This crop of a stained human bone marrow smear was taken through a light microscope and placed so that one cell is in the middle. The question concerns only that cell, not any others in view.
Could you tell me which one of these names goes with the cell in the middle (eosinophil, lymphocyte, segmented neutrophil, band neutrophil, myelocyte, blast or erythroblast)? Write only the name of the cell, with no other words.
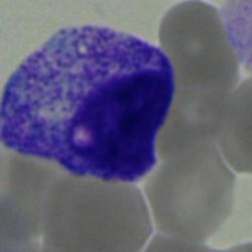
myelocyte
